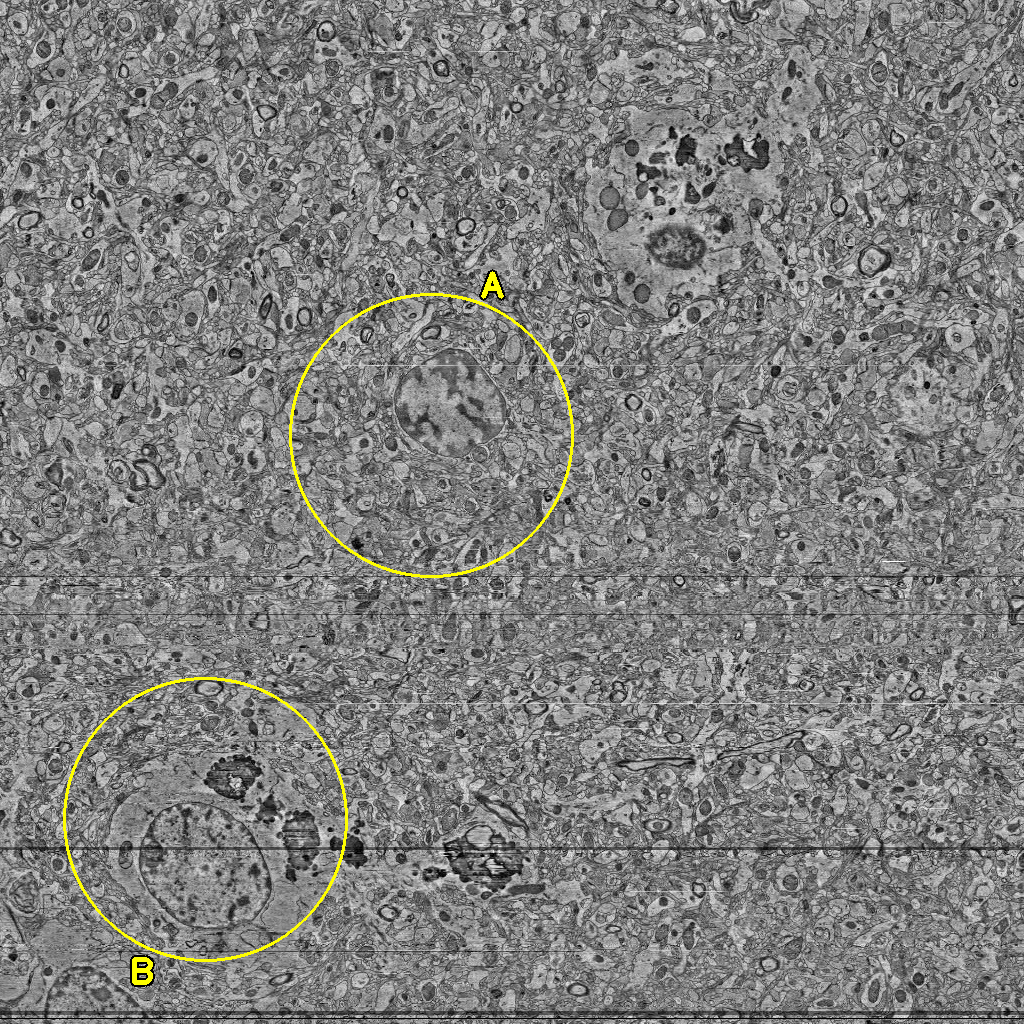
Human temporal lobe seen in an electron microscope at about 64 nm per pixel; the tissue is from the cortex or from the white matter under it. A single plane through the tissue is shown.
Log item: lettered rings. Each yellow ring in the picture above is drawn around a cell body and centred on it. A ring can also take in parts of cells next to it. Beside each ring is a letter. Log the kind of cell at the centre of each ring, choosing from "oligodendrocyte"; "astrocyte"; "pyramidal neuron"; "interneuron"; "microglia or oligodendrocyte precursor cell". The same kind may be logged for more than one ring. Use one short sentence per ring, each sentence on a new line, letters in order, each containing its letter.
Within ring A, the centre is taken by a microglial cell or oligodendrocyte precursor cell.
Within ring B, the centre is taken by an astrocyte.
